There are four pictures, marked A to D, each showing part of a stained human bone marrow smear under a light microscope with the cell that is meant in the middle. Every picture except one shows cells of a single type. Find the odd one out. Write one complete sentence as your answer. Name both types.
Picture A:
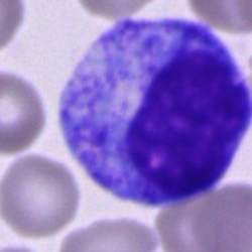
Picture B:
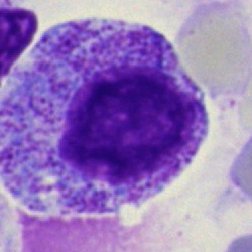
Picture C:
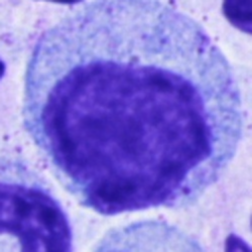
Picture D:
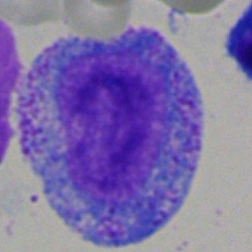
All pictures except B show promyelocytes; picture B shows a myelocyte.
